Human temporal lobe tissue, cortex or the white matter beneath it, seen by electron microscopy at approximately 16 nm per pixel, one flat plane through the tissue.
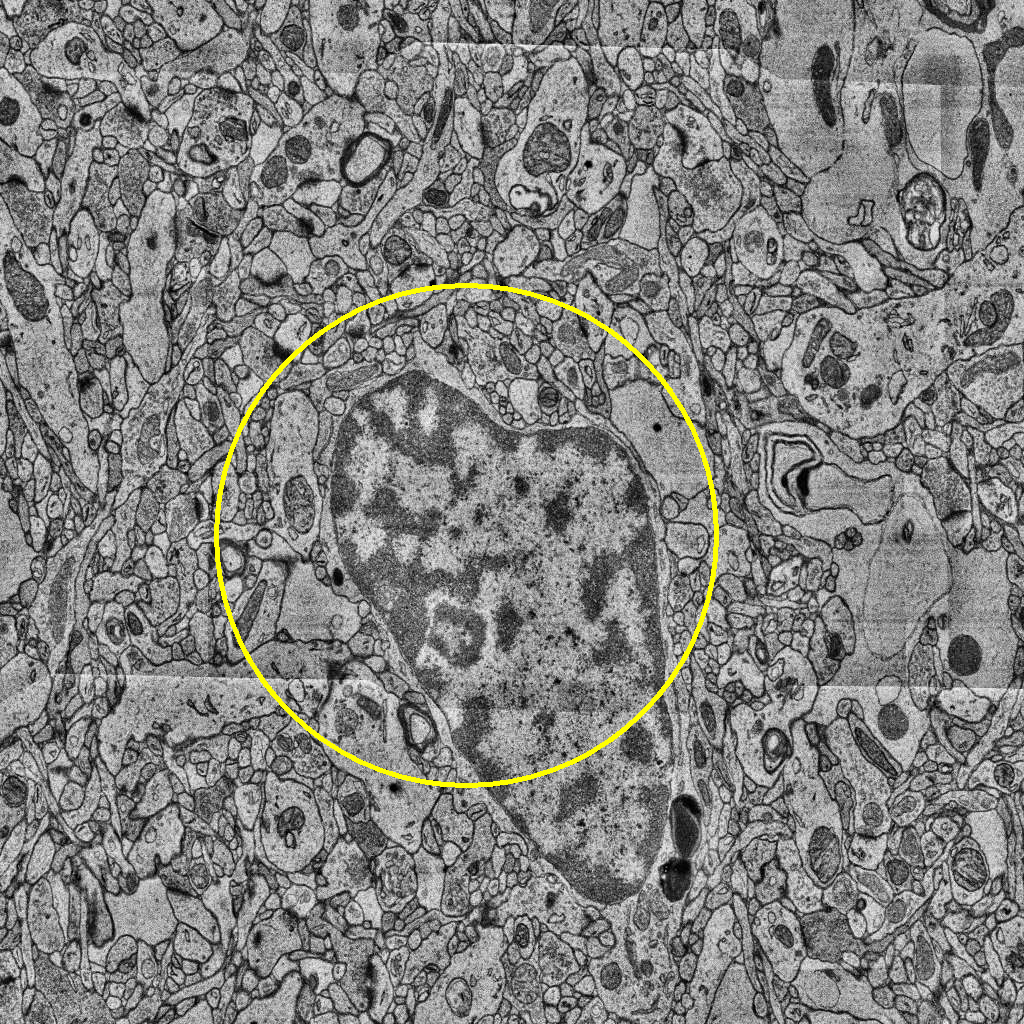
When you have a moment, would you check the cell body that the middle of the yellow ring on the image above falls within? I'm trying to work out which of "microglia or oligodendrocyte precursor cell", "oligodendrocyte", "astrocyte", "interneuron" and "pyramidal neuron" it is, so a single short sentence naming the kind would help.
This cell body belongs to a microglial cell or oligodendrocyte precursor cell.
